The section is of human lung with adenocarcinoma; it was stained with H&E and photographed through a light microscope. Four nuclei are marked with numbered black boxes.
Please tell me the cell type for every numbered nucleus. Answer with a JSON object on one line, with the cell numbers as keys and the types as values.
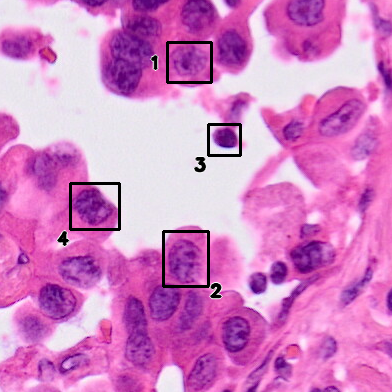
{"1": "carcinoma cell", "2": "carcinoma cell", "3": "lymphocyte", "4": "carcinoma cell"}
